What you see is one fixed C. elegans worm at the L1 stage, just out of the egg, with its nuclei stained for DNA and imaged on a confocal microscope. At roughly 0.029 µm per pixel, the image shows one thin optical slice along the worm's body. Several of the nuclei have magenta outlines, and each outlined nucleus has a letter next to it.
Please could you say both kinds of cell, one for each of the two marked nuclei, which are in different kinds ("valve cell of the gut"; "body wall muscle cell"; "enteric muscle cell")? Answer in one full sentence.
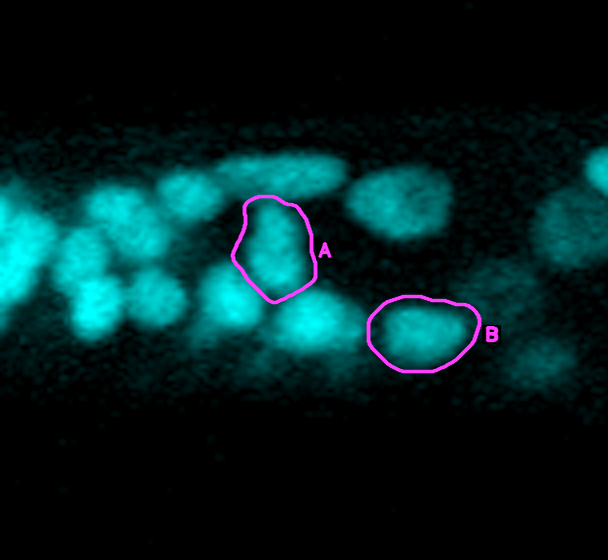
One is from a valve cell of the gut, namely A, and the other, B, is from an enteric muscle cell.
